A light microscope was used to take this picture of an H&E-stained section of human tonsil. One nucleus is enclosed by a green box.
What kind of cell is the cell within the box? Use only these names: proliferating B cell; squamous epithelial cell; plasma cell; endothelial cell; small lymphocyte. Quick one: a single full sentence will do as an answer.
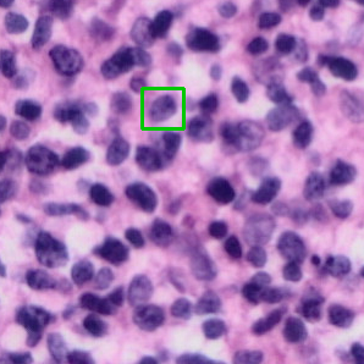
Considered by cell type, the cell within the box is a proliferating B cell.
